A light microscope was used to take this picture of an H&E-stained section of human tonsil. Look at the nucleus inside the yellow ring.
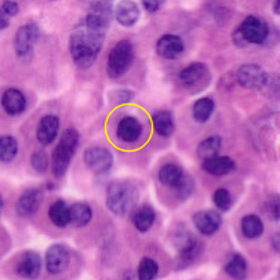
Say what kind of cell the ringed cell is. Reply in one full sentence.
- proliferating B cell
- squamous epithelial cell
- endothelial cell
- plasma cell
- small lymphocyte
The ringed cell is a plasma cell.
